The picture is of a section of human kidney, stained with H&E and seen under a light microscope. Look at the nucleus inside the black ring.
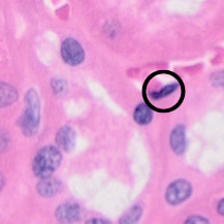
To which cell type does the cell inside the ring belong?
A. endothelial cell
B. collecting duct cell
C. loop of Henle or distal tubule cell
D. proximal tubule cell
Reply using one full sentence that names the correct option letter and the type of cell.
The correct option, A, describes the cell inside the ring as an endothelial cell.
